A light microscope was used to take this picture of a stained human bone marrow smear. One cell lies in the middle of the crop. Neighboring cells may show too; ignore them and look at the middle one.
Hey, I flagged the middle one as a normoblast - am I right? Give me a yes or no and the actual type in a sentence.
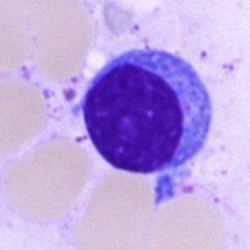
No, the central cell is a lymphocyte; it should not be labelled a normoblast.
